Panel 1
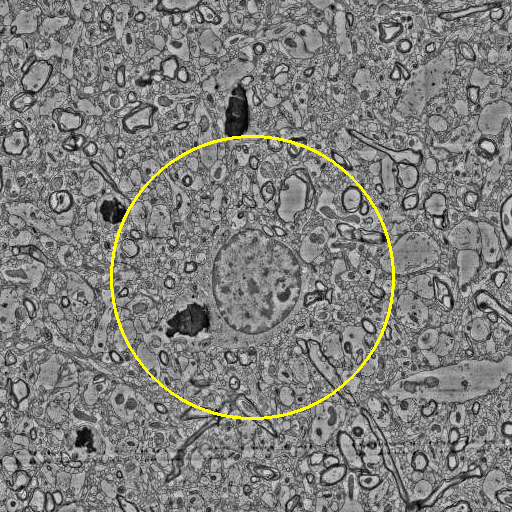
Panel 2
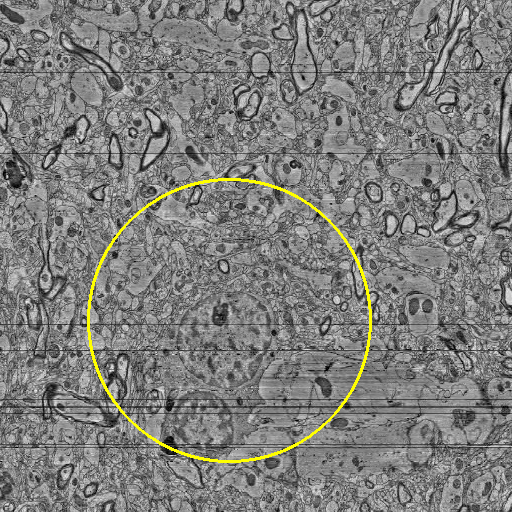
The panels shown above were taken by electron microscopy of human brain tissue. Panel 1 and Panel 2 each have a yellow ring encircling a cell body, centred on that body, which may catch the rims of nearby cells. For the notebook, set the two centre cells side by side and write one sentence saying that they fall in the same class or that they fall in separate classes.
The centred cells of Panel 1 and Panel 2 fall in the same class.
